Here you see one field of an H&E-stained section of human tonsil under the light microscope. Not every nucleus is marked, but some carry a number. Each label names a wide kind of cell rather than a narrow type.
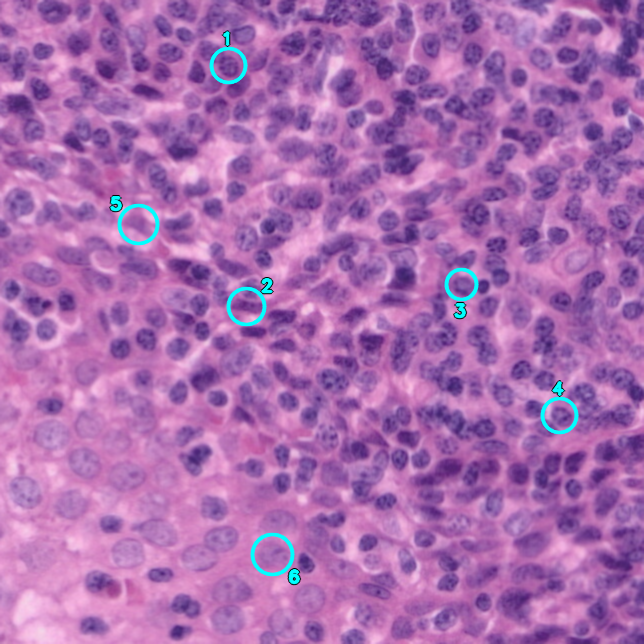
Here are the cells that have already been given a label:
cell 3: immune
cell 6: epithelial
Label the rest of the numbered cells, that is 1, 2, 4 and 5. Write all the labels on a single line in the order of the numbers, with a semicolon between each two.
immune; epithelial; immune; epithelial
